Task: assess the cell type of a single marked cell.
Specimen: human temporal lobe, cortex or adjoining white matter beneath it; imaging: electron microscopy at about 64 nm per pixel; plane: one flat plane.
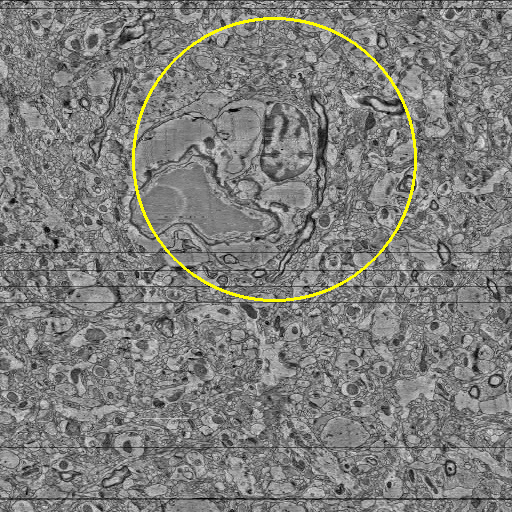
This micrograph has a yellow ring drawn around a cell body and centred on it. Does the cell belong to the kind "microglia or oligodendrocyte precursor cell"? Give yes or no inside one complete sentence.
Yes, the marked cell at the centre of the ring belongs to that kind.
